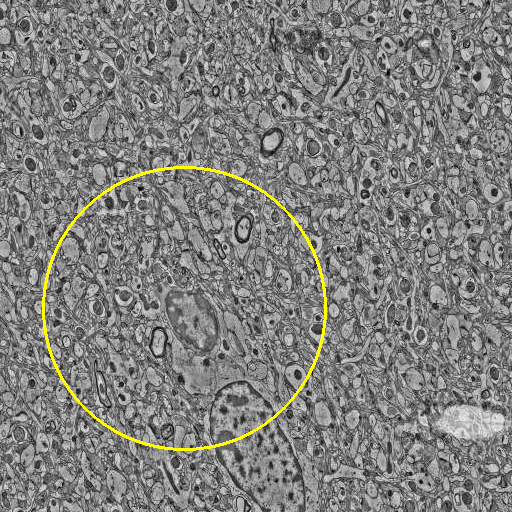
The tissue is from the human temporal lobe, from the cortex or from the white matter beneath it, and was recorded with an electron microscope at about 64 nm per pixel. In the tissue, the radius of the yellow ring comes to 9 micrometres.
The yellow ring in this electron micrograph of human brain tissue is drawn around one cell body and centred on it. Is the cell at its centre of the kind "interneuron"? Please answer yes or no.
no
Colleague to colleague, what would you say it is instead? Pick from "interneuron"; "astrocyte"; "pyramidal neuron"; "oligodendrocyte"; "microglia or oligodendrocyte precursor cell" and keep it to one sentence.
The ringed cell in this picture is, instead, an oligodendrocyte.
